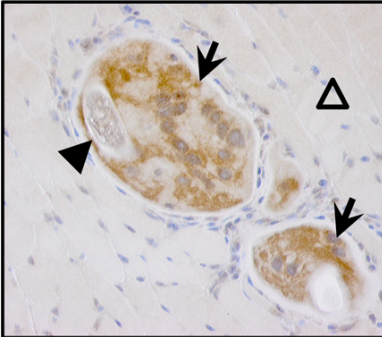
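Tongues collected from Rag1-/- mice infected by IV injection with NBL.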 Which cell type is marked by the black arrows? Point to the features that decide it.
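Rounded cells enclosed in a thin capsule among striated muscle fibres. Cytoplasm packed with many large rounded nuclei. A coiled worm-shaped body lies inside one of them.
Hence: nurse cells.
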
